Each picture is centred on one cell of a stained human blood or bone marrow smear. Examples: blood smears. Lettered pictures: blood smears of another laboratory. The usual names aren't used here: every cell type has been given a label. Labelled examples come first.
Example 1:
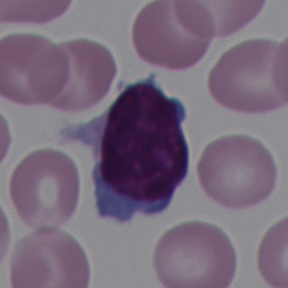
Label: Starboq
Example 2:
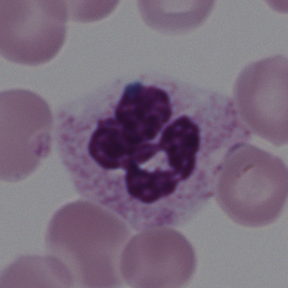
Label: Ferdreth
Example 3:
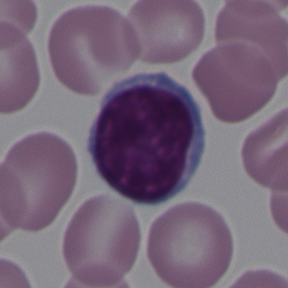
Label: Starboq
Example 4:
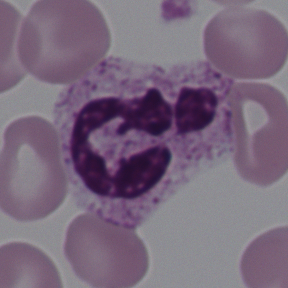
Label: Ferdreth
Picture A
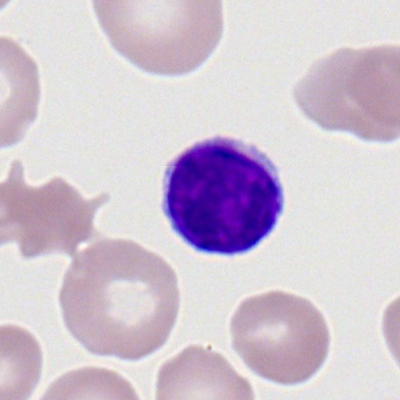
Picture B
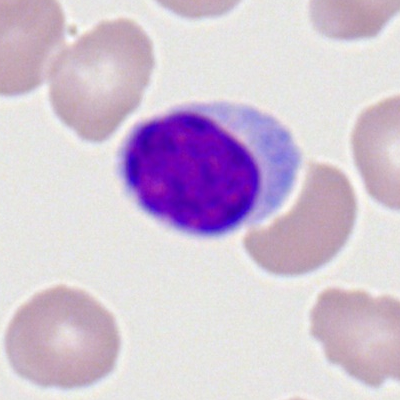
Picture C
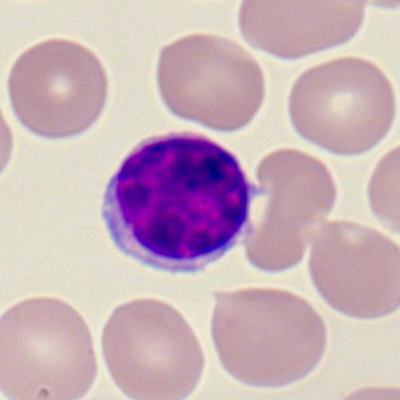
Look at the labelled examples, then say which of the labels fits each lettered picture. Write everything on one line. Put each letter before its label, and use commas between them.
A Starboq, B Starboq, C Starboq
